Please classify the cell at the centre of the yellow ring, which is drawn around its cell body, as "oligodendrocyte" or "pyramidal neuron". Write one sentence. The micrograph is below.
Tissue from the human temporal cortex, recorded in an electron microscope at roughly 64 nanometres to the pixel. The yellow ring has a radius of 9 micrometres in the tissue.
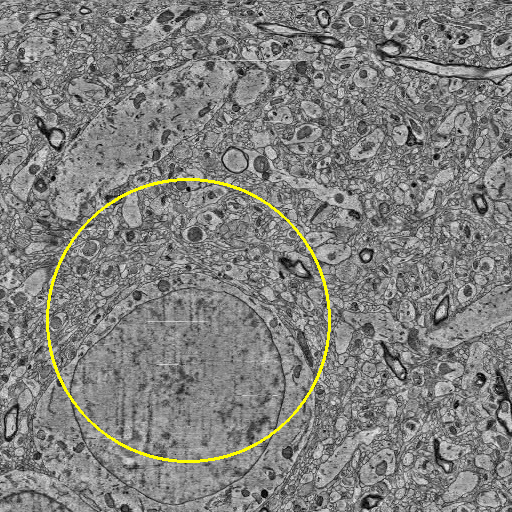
The cell at the ring's centre is classified as a pyramidal neuron.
